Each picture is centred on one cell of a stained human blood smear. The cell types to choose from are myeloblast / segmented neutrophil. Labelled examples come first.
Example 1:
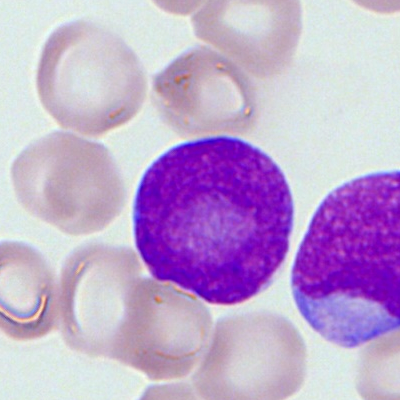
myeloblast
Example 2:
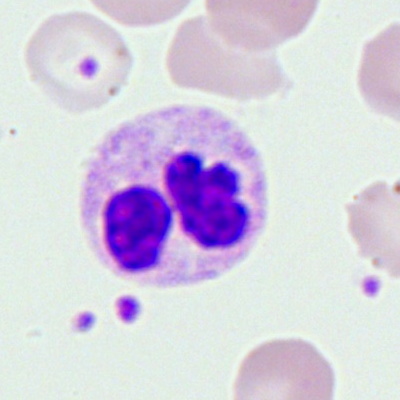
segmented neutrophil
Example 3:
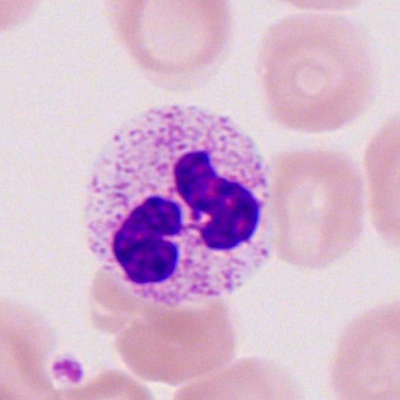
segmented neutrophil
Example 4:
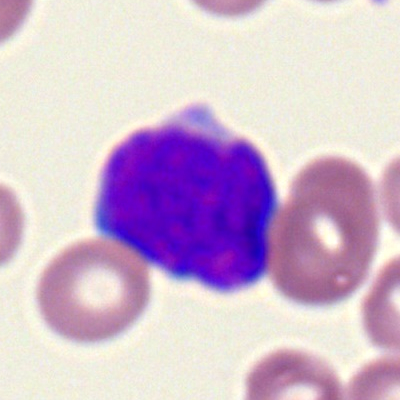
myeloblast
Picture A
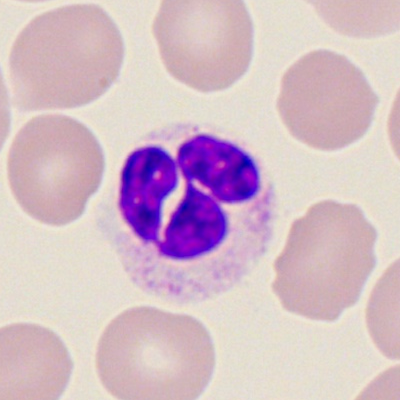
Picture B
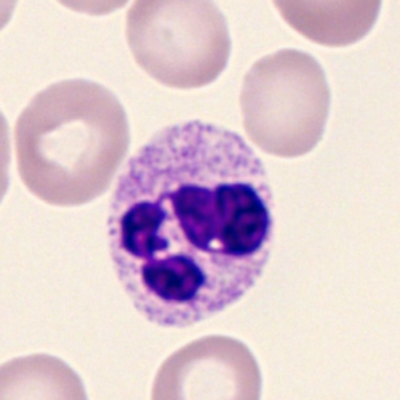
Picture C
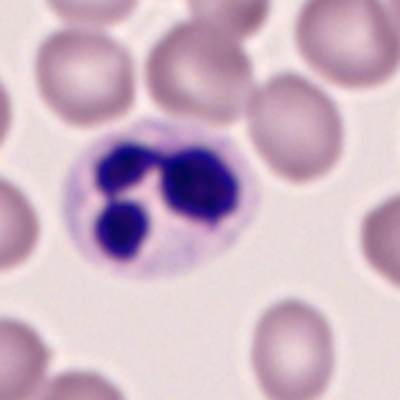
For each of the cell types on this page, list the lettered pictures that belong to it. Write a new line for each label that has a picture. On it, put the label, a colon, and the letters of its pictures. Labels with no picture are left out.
segmented neutrophil: A, B, C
